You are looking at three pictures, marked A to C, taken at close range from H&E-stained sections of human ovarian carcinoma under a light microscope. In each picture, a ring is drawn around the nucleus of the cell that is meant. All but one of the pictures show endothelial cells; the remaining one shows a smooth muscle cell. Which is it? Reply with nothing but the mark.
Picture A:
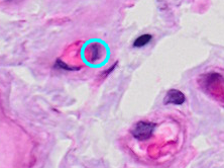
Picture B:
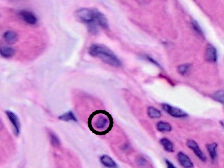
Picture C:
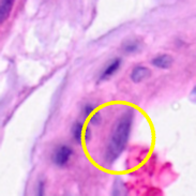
B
